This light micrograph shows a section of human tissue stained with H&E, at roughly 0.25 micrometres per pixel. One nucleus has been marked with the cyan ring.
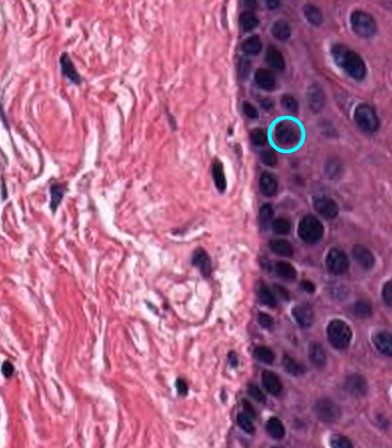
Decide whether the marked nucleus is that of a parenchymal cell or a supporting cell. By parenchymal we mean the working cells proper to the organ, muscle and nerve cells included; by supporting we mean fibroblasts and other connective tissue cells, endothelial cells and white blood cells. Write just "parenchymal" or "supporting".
parenchymal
